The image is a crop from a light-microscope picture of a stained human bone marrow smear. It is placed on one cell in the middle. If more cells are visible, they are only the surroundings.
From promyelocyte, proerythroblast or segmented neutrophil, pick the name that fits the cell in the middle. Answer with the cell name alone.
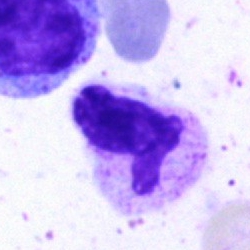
segmented neutrophil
